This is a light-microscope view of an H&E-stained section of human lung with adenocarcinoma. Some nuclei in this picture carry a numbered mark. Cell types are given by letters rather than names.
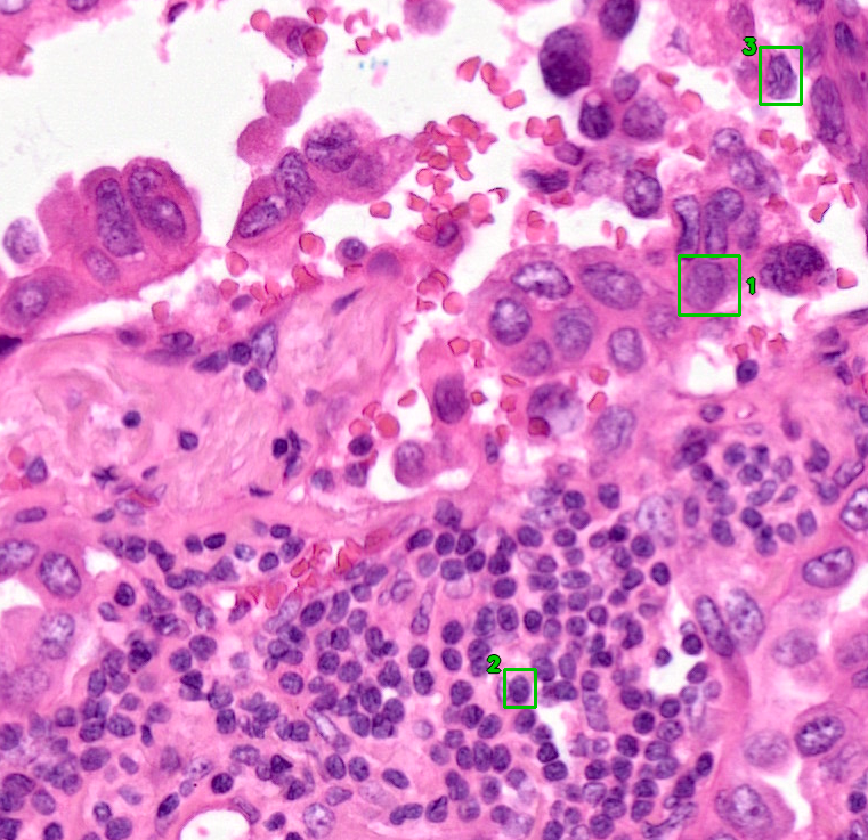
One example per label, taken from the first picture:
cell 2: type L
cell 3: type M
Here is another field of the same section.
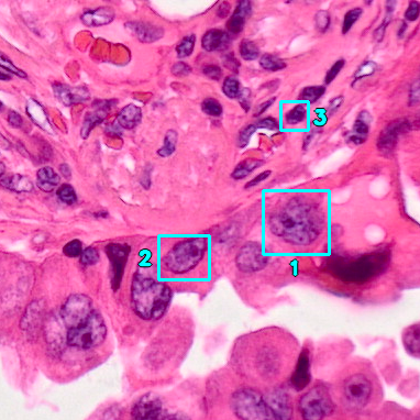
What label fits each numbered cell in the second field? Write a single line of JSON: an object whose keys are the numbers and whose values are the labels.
{"1": "type M", "2": "type M", "3": "type L"}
